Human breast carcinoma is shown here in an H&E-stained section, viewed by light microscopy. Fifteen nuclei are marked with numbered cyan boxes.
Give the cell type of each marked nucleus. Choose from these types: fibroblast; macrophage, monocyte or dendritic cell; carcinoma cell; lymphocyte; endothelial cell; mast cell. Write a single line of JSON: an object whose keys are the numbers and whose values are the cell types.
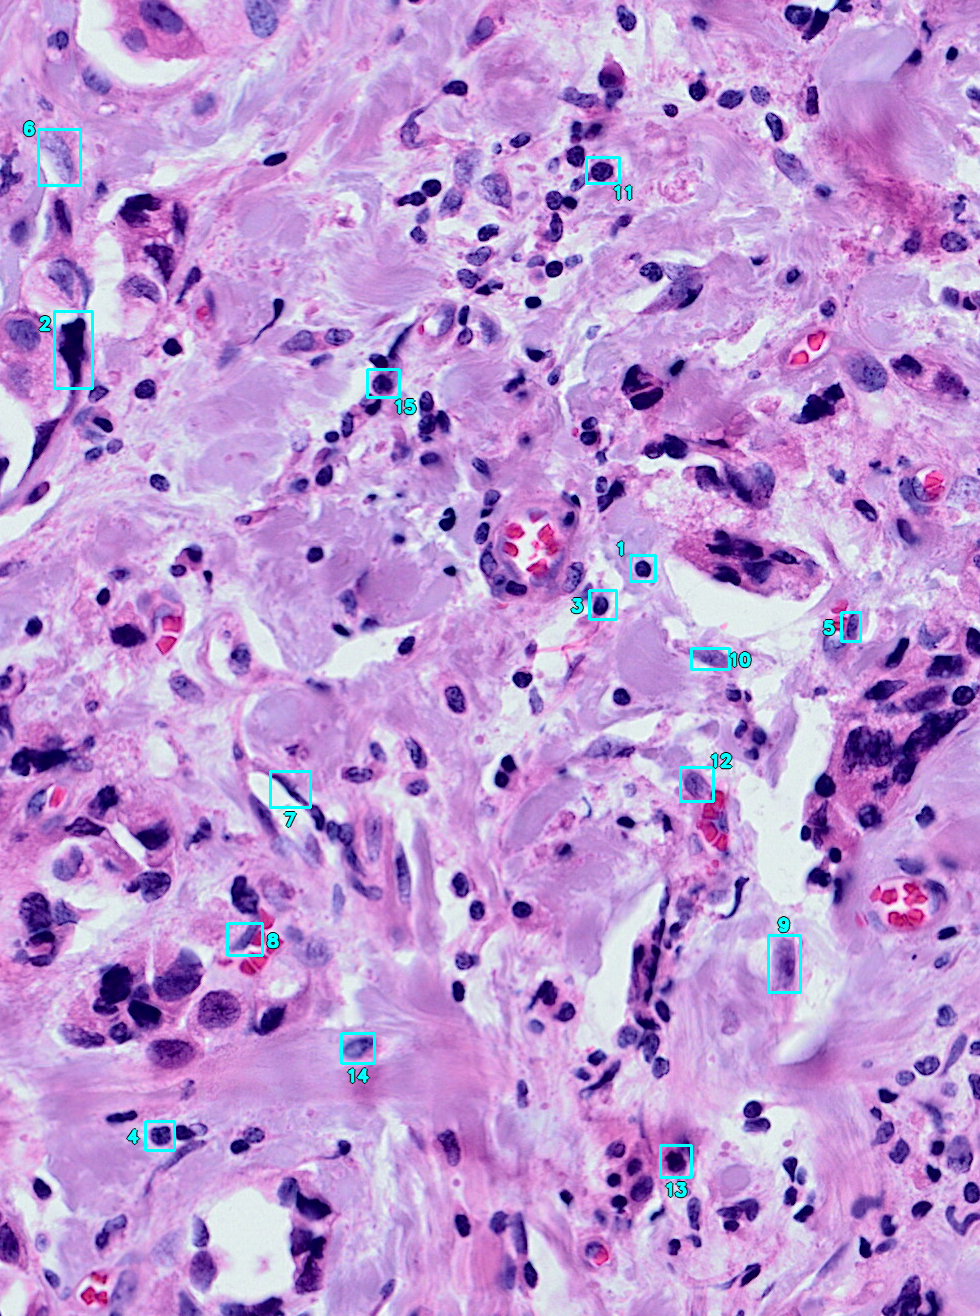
{"1": "lymphocyte", "2": "carcinoma cell", "3": "lymphocyte", "4": "lymphocyte", "5": "endothelial cell", "6": "fibroblast", "7": "fibroblast", "8": "endothelial cell", "9": "fibroblast", "10": "fibroblast", "11": "lymphocyte", "12": "endothelial cell", "13": "lymphocyte", "14": "mast cell", "15": "lymphocyte"}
